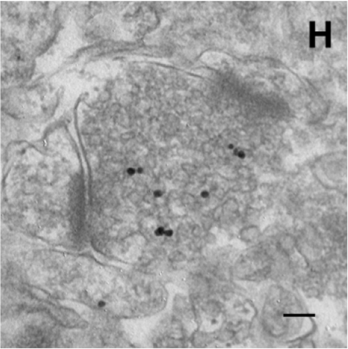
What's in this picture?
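A presynaptic terminal filled with a dense cluster of small clear synaptic vesicles sits beside a dark, thickened synaptic membrane density. Several round black gold particles, some in pairs, lie among the vesicles in the middle of the terminal.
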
